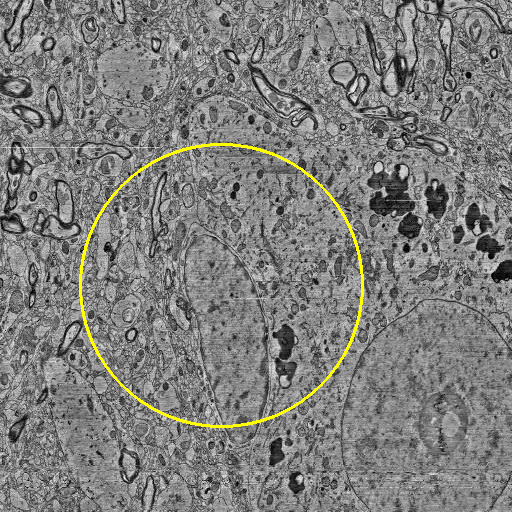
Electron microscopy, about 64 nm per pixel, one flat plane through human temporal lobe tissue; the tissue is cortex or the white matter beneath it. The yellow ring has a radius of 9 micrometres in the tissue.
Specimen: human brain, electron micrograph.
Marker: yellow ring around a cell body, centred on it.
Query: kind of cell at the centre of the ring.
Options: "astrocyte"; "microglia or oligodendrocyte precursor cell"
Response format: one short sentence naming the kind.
This cell body belongs to a microglial cell or oligodendrocyte precursor cell.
